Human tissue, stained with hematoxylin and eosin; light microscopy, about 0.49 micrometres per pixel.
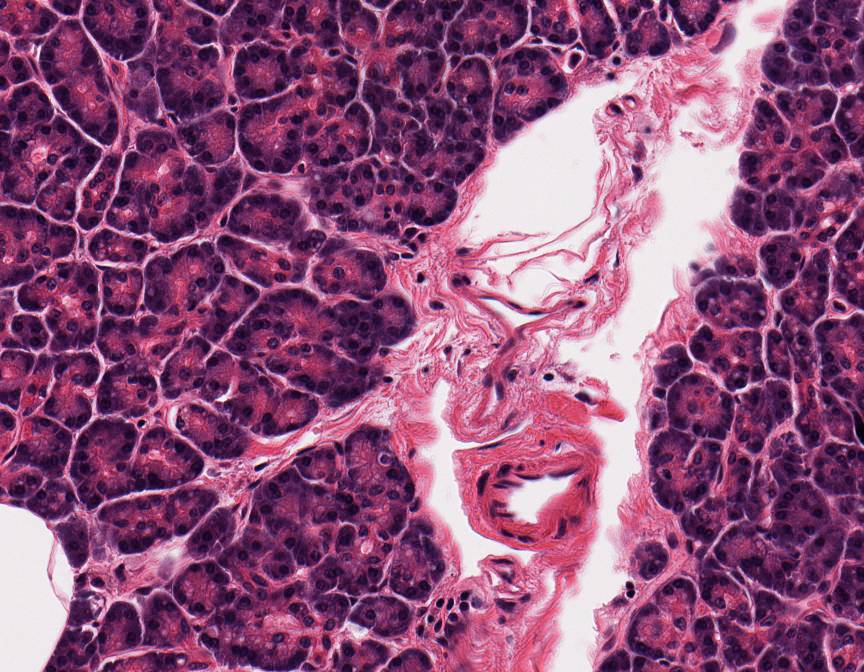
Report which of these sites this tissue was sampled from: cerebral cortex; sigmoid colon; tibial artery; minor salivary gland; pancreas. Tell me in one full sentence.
This tissue was harvested from the pancreas.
